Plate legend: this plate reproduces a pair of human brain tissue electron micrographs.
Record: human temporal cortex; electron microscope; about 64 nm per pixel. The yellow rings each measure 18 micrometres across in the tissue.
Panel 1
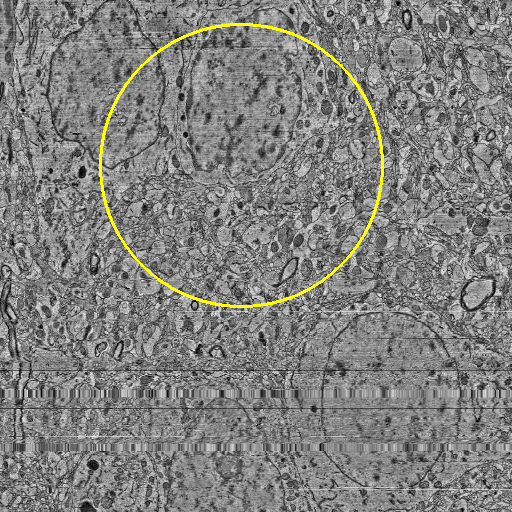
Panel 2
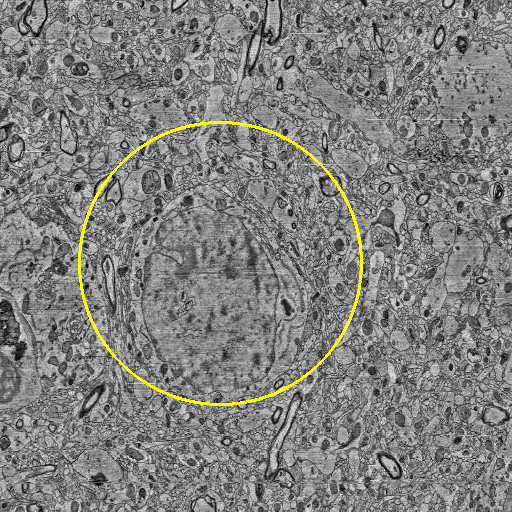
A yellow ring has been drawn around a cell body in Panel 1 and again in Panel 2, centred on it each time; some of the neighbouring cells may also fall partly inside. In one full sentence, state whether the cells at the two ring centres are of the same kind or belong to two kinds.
The ring-centred cells of Panel 1 and Panel 2 are of the same kind.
